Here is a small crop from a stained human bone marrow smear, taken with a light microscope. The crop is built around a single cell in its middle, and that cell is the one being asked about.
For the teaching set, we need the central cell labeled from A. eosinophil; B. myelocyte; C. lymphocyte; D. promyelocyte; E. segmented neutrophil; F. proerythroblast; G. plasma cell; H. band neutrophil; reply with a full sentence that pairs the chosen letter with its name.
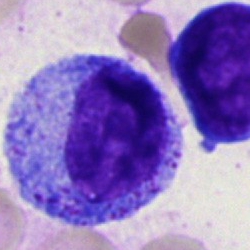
Option D, which names the central cell as a promyelocyte, is correct.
